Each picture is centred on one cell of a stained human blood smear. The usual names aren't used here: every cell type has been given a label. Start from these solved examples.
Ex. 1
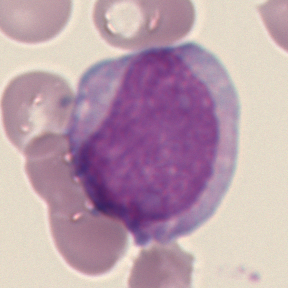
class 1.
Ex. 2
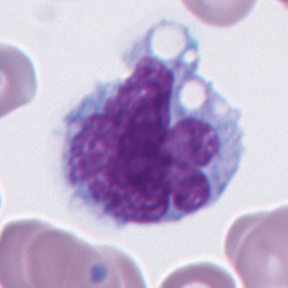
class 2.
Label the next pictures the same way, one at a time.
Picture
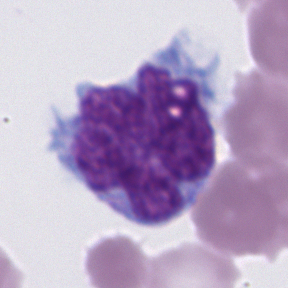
class 2.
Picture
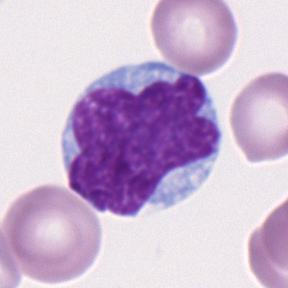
class 2.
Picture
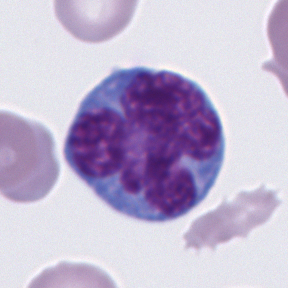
class 2.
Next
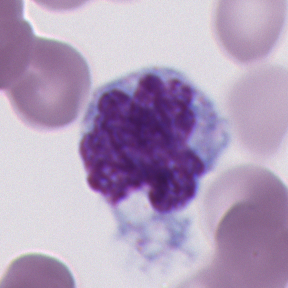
class 2.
